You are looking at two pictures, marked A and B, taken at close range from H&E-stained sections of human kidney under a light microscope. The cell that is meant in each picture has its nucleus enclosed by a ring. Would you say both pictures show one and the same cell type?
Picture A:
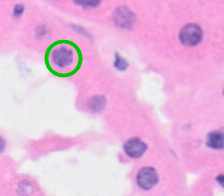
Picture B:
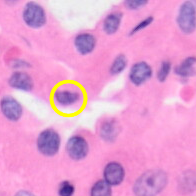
yes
